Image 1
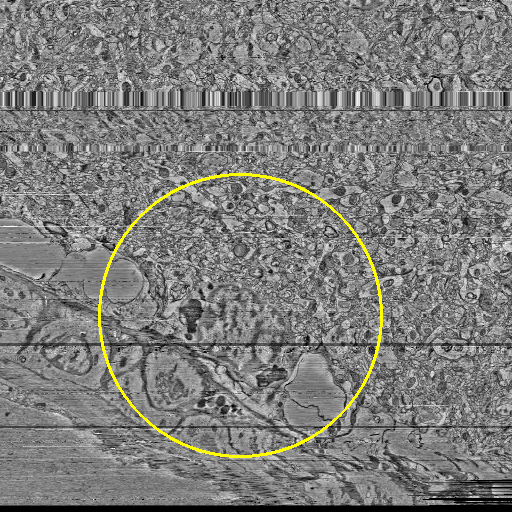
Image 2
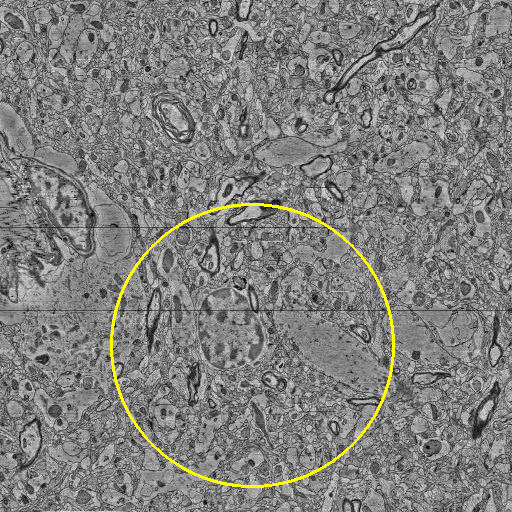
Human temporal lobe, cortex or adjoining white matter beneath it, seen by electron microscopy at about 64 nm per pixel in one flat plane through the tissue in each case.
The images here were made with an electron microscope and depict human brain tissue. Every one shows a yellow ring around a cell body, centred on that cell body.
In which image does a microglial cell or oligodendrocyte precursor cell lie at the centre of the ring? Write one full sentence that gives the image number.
My answer is image 2, where the asked-for cell sits at the centre of the ring.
